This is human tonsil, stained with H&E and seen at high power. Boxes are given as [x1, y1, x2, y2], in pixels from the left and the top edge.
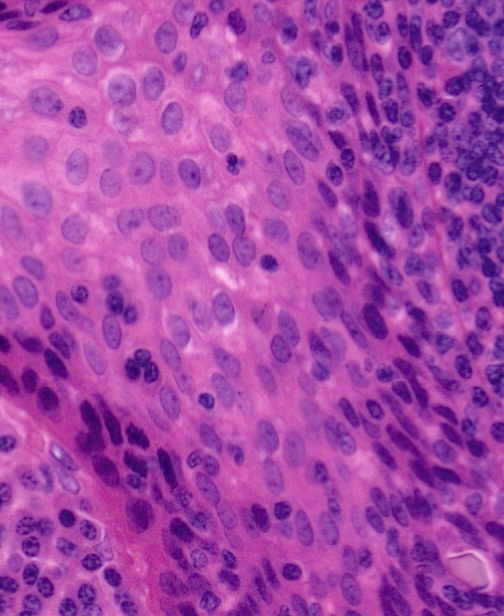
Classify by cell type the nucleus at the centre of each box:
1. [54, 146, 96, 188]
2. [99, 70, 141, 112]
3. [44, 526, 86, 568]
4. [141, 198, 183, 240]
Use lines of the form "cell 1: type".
cell 1: squamous epithelial cell
cell 2: squamous epithelial cell
cell 3: plasma cell
cell 4: squamous epithelial cell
